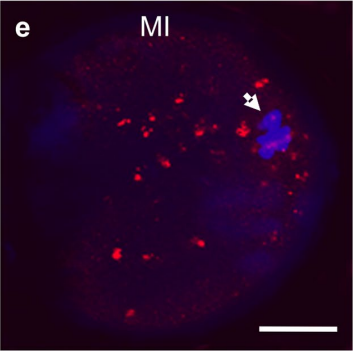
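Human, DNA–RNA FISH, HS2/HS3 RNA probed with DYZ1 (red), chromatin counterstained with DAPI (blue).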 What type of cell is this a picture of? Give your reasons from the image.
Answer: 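One very large round cell fills the panel. A small cluster of blue chromatin lies near its edge. On this evidence: oocytes.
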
